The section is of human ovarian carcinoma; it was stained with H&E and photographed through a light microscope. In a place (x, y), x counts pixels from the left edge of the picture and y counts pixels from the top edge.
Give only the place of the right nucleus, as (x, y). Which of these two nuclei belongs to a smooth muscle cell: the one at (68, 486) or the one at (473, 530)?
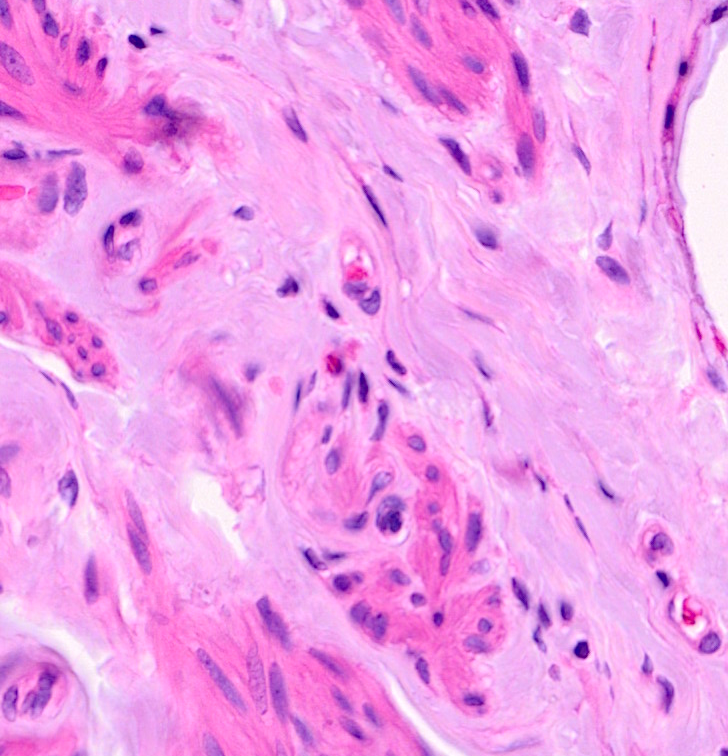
(473, 530)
